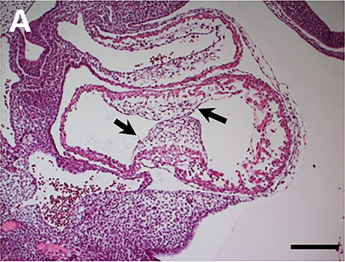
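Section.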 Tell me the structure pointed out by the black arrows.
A: endocardial cushions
